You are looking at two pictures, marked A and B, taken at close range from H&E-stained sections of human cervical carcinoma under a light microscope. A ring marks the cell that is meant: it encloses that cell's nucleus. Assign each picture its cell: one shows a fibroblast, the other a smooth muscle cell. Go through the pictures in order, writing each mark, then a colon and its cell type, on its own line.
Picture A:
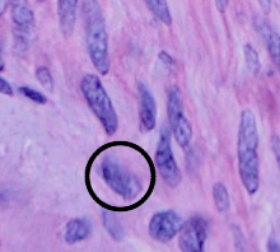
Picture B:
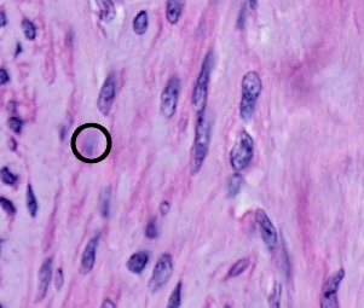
A: fibroblast
B: smooth muscle cell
